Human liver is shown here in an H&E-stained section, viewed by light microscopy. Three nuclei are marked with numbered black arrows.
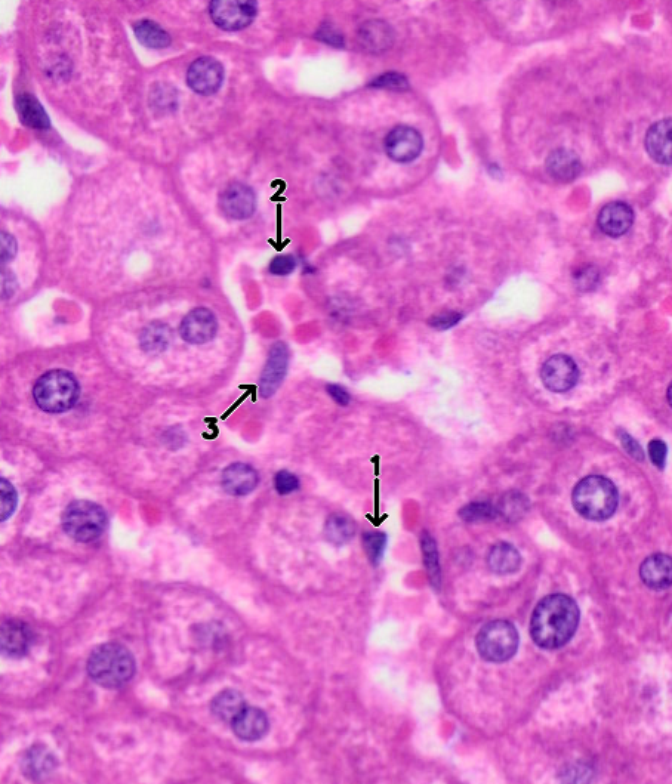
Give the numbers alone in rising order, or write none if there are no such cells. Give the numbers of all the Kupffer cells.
3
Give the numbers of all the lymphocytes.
2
